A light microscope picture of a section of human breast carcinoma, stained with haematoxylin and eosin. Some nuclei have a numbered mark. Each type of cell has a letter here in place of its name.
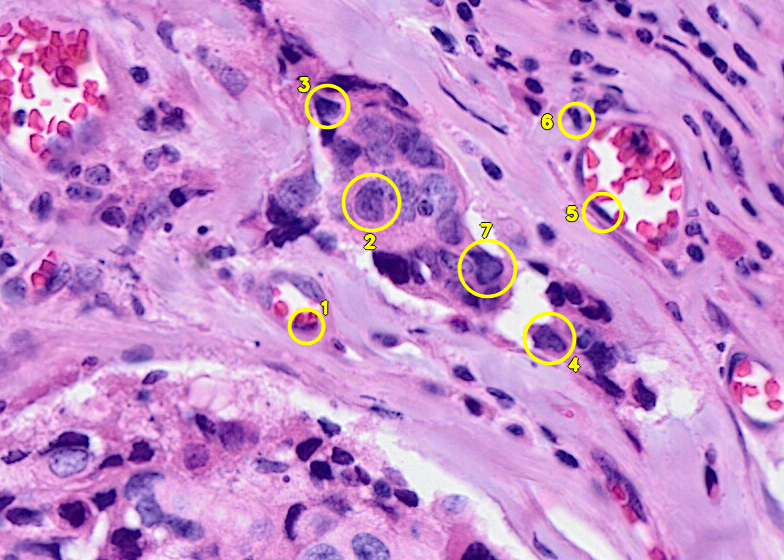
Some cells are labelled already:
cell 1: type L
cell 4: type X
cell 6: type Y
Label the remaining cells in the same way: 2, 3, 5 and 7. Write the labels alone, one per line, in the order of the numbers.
type X
type X
type L
type X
